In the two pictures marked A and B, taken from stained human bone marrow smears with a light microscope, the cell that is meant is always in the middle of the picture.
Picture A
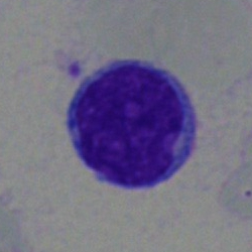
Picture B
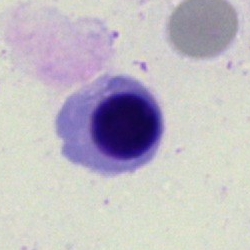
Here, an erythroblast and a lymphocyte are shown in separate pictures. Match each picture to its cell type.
A: lymphocyte
B: erythroblast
